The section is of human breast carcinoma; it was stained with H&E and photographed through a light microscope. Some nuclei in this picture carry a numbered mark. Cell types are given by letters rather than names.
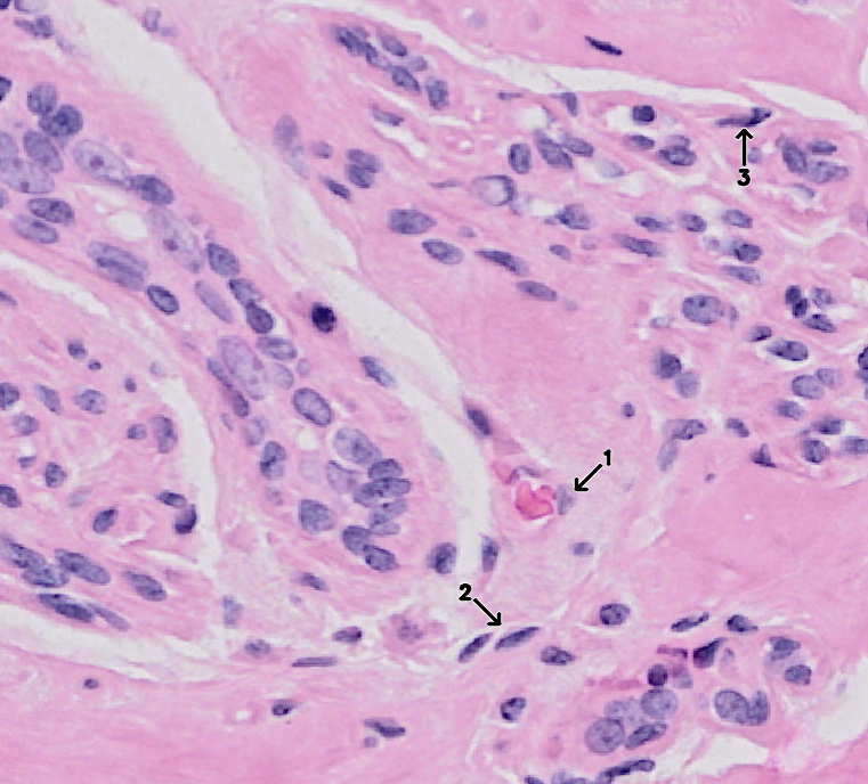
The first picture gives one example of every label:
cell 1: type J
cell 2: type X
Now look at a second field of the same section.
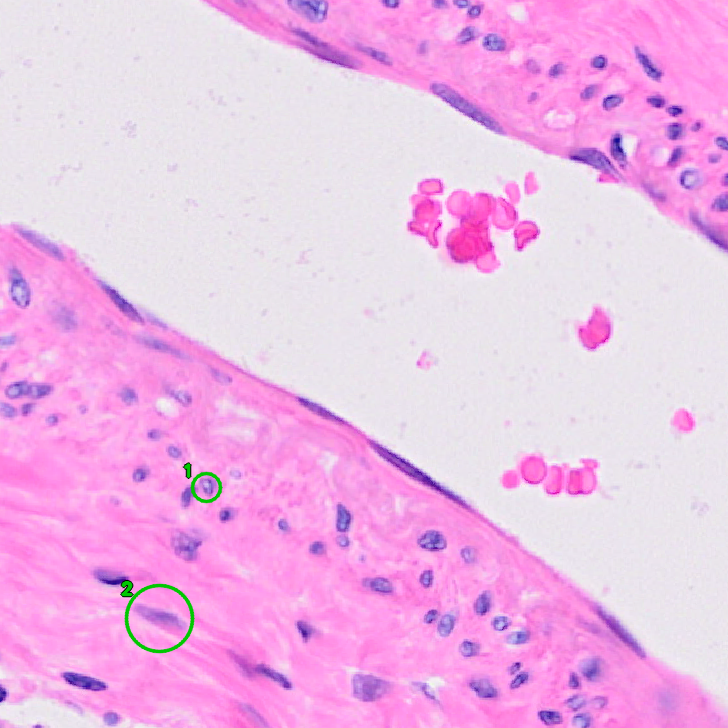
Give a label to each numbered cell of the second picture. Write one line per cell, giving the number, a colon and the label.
1: type J
2: type X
